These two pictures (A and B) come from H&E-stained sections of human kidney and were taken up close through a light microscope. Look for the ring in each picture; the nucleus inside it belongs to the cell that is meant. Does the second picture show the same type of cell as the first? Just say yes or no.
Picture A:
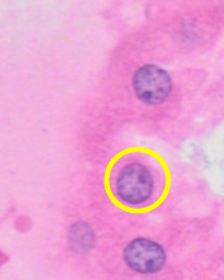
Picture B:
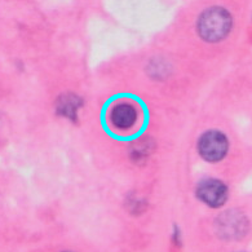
yes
